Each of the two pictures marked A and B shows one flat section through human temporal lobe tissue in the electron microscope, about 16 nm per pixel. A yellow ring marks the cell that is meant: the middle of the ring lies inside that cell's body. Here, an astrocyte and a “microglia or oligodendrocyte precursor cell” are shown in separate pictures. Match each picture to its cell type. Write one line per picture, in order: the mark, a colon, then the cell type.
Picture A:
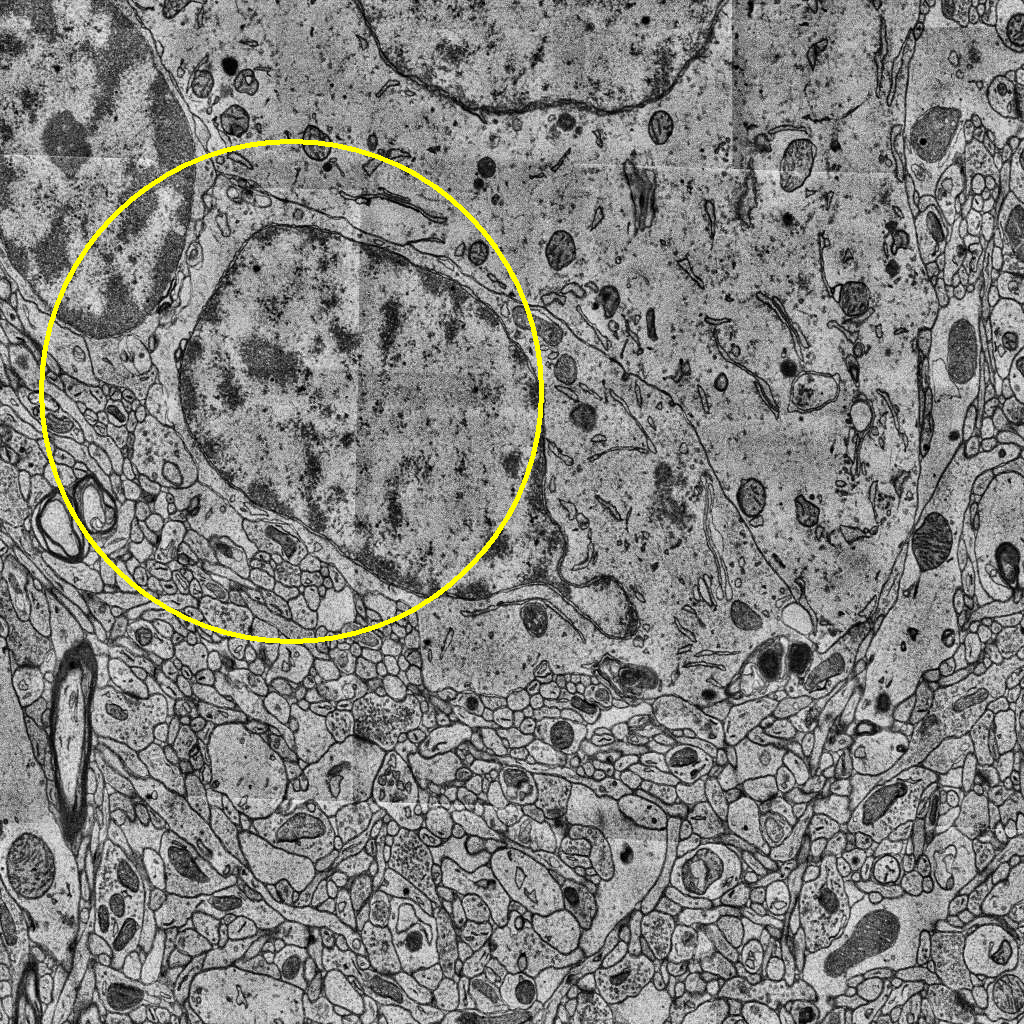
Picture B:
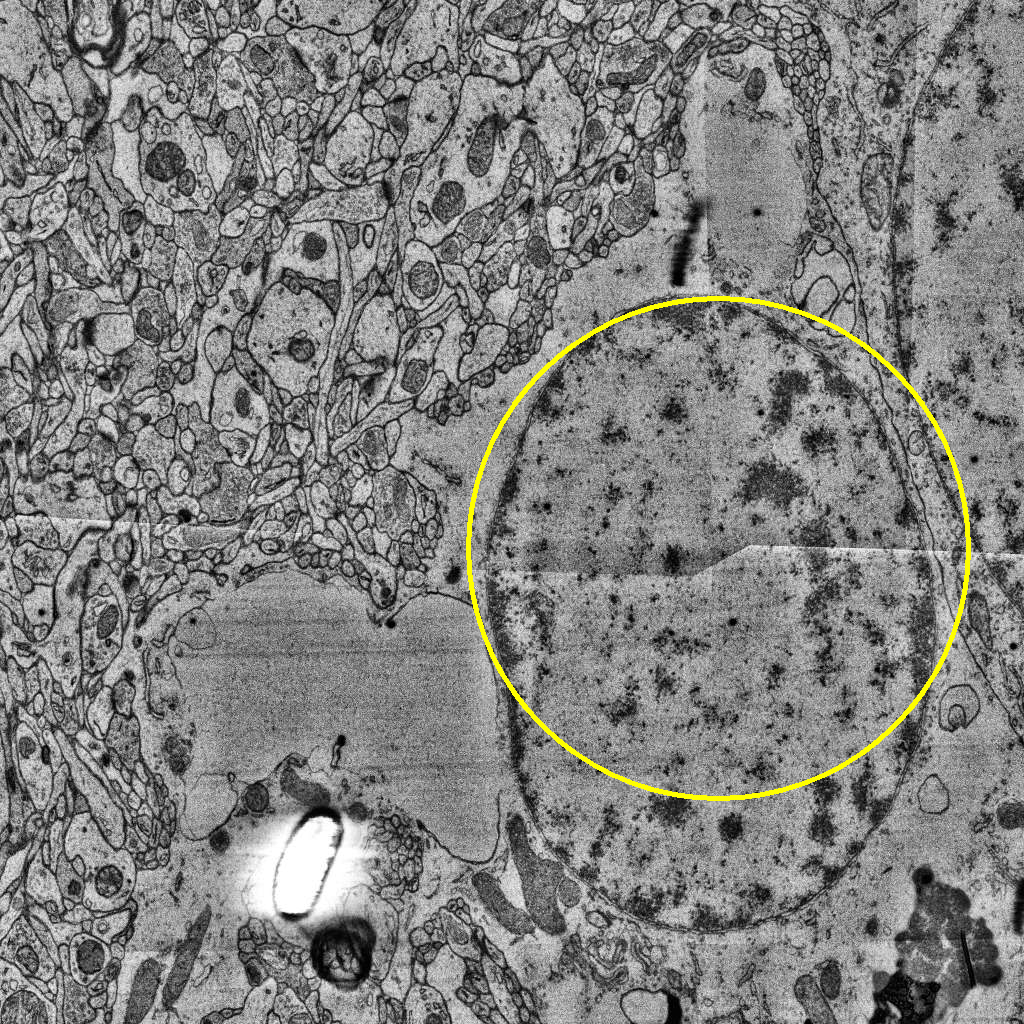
A: microglia or oligodendrocyte precursor cell
B: astrocyte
